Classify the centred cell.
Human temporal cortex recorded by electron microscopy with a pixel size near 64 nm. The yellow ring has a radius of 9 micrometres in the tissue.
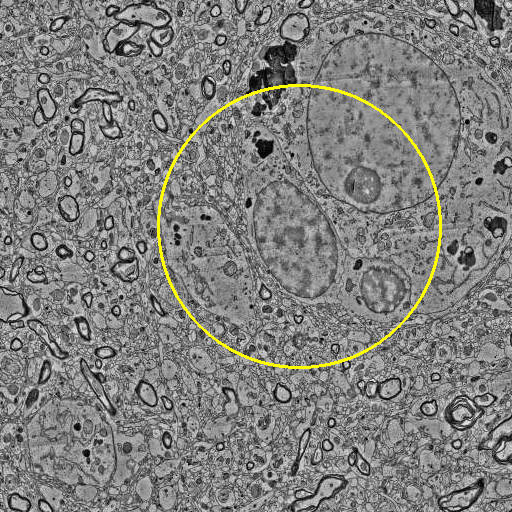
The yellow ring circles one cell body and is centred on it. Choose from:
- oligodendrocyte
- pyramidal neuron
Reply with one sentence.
The ring is centred on an oligodendrocyte.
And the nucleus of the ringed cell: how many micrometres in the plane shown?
About 8 by 5 micrometres, the nucleus being clearly longer than it is wide in this plane.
